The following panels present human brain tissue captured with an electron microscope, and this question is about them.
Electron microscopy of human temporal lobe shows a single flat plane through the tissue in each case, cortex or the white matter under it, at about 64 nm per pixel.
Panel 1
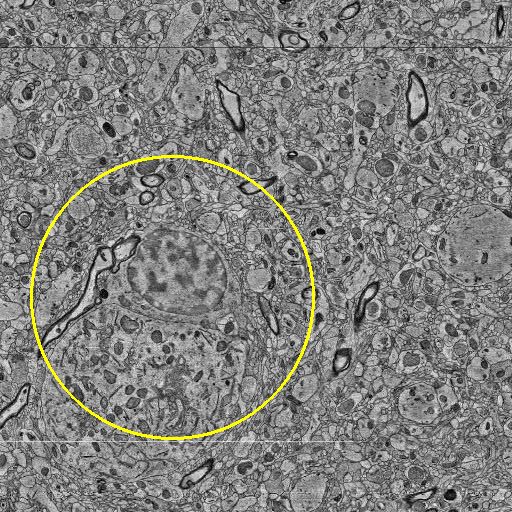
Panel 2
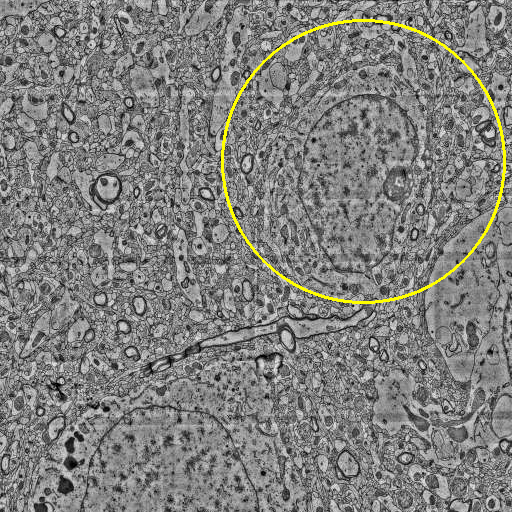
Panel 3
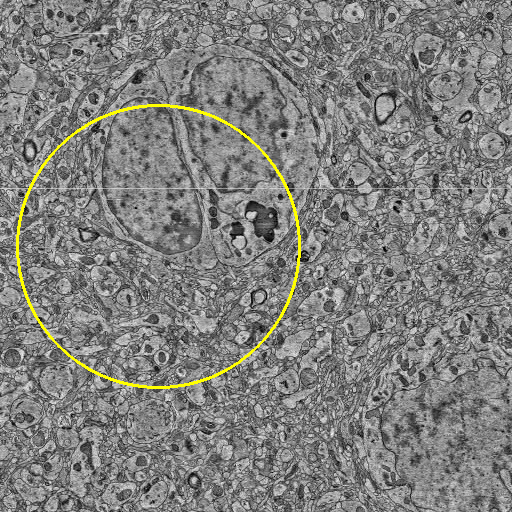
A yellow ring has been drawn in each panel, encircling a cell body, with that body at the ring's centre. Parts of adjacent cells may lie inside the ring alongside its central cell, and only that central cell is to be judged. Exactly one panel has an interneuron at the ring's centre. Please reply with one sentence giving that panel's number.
The ring whose central cell fits the description is the one in panel 2.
